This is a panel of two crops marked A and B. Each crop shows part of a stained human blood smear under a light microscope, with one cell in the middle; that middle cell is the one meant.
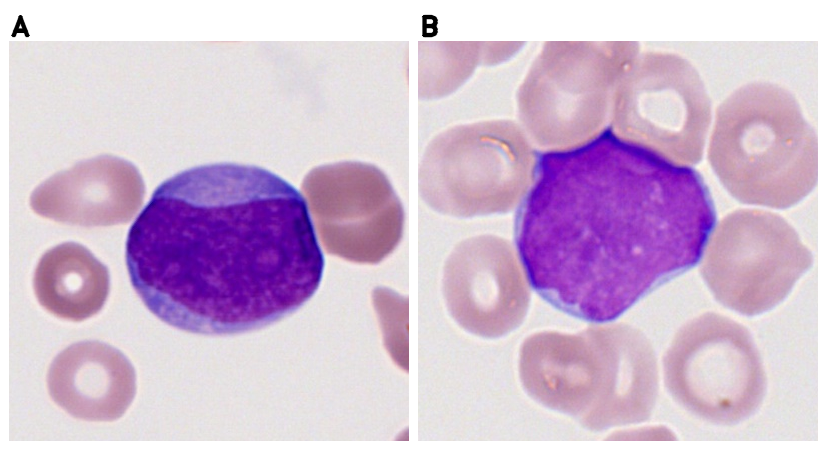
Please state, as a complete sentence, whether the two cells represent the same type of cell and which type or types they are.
Yes, in the two crops, myeloblasts are the cells at the centre.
